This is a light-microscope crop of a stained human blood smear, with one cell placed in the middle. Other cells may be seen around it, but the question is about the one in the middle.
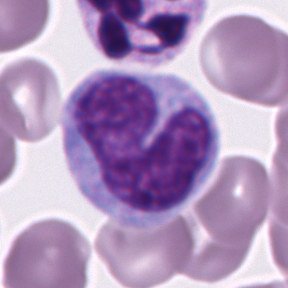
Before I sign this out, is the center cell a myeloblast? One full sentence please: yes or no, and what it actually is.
No, that would be a monocyte, not a myeloblast, for the cell at the centre.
